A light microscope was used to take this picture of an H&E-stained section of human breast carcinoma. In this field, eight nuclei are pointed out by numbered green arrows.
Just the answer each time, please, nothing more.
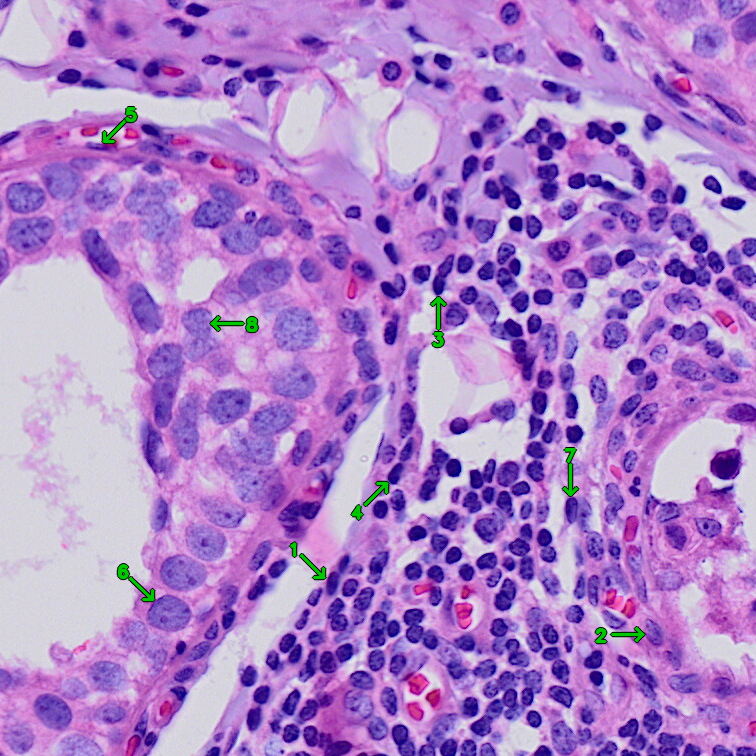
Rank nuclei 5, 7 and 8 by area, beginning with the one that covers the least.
5, 7, 8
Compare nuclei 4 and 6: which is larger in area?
6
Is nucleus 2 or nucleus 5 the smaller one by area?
5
